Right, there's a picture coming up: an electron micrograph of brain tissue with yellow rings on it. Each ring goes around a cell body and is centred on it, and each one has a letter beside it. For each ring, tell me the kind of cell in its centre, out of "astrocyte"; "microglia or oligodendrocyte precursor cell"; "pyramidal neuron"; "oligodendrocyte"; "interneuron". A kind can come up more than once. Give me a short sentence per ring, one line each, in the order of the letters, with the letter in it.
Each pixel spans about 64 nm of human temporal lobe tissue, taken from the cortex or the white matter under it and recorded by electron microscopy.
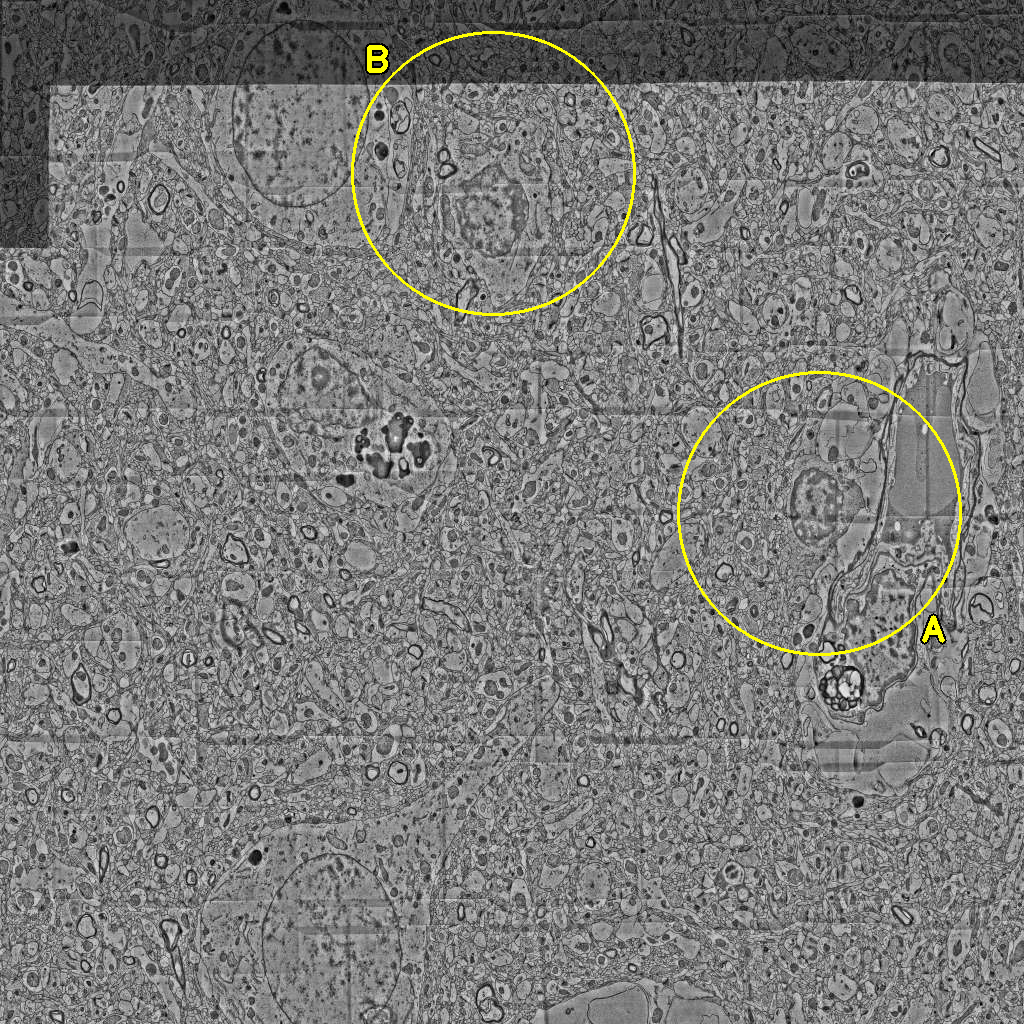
That's an oligodendrocyte in ring A.
That's an interneuron in ring B.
